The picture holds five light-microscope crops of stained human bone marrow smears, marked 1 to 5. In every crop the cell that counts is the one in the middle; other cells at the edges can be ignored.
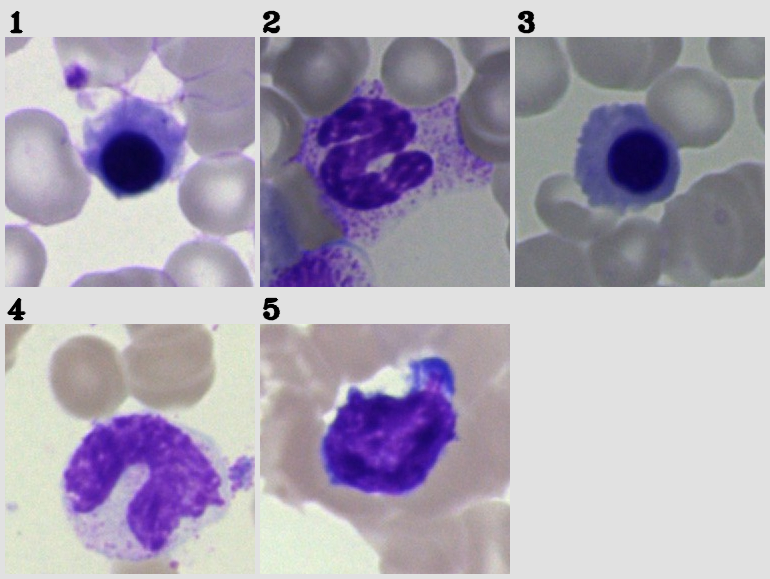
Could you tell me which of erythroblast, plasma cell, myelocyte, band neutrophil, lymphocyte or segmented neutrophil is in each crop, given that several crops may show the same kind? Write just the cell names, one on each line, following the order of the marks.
erythroblast
segmented neutrophil
erythroblast
band neutrophil
lymphocyte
